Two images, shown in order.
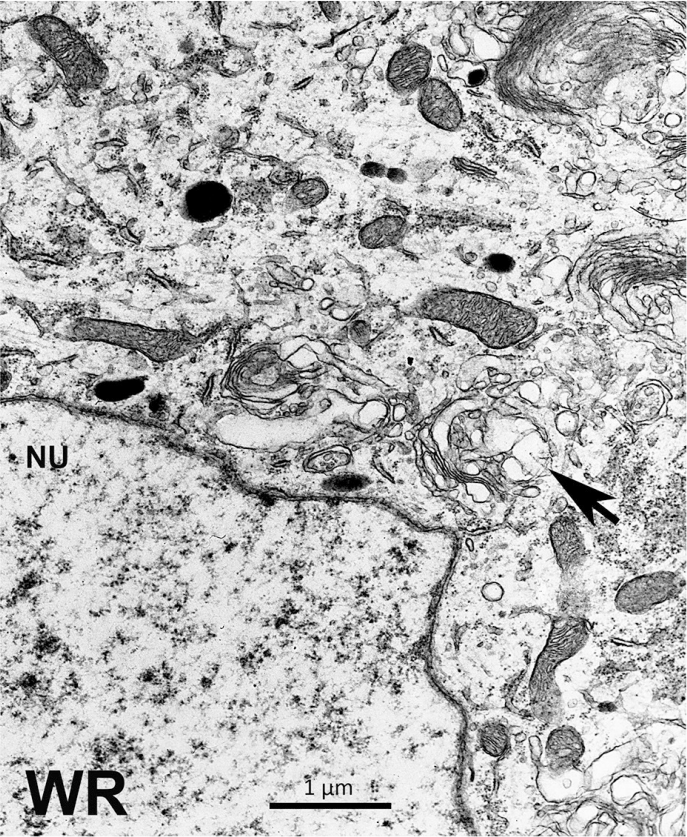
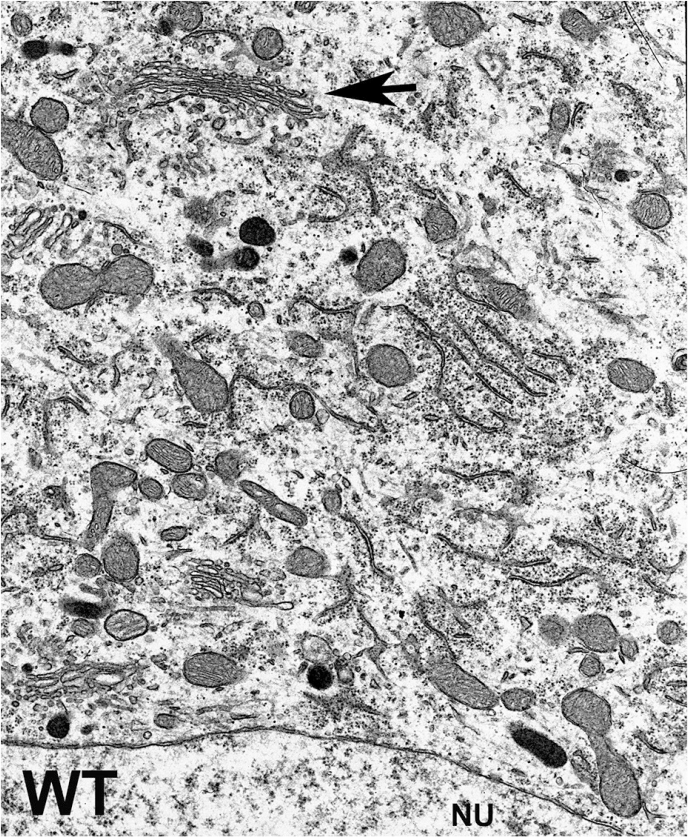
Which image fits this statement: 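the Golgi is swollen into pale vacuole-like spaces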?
The first image.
